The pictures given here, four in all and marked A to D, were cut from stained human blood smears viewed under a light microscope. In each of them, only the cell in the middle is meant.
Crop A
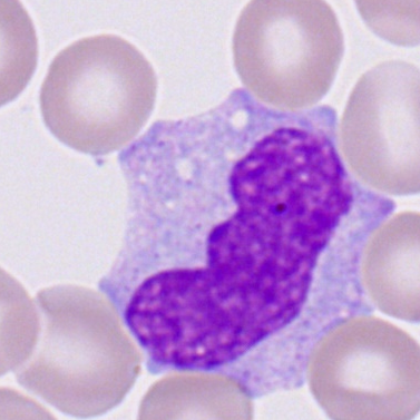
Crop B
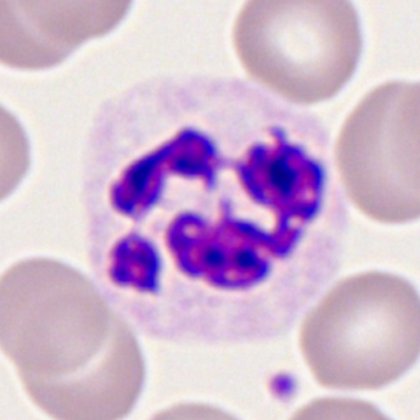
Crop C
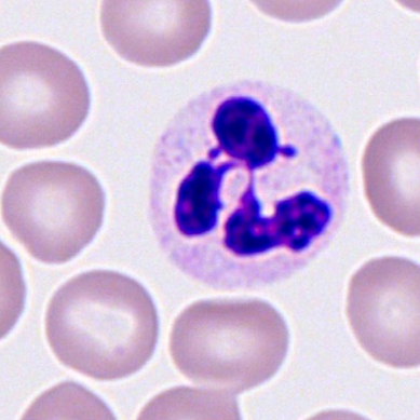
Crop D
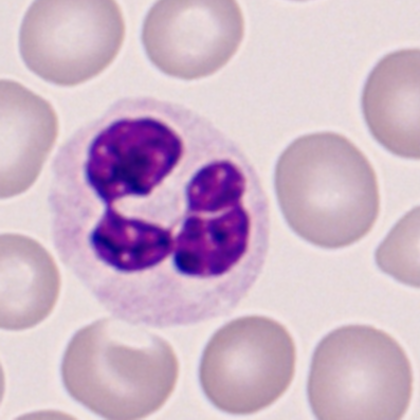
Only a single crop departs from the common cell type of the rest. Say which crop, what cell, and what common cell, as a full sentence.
Crop A differs: it is a monocyte, and all the other crops show segmented neutrophils.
